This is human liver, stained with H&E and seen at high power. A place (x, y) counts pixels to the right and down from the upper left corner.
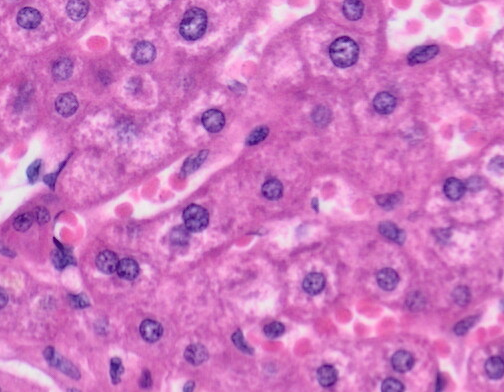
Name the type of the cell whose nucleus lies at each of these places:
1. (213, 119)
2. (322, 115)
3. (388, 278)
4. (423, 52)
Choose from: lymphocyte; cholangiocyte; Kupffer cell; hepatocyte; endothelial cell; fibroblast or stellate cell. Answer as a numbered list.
1. hepatocyte
2. hepatocyte
3. hepatocyte
4. Kupffer cell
